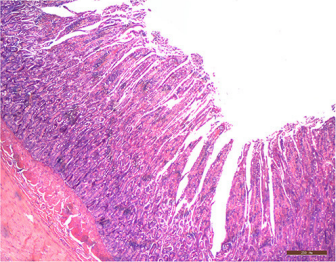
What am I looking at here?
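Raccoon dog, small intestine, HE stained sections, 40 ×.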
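The villi are narrow, parallel and separated by clear spaces. Below them a broad, densely purple layer of crypts occupies much of the mucosa. A pink muscular layer runs along the lower left margin.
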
